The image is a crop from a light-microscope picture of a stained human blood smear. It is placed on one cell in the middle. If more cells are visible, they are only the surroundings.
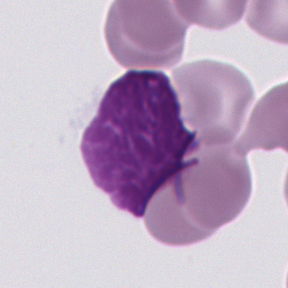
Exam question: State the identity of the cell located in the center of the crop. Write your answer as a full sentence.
Among the cells in view, the one in the middle is a smudge cell.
